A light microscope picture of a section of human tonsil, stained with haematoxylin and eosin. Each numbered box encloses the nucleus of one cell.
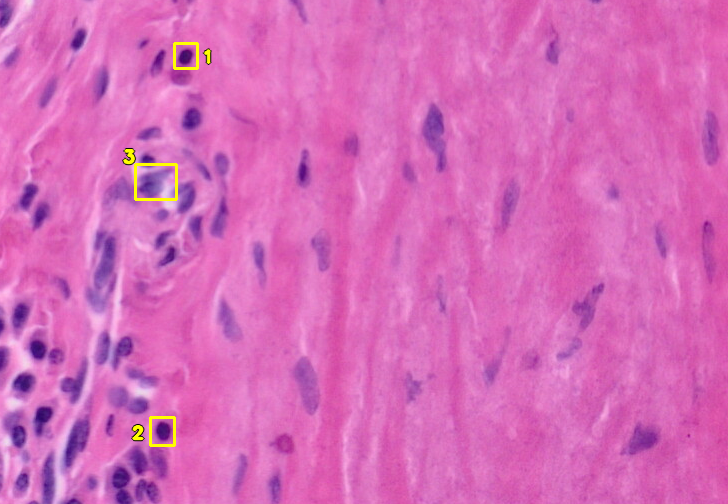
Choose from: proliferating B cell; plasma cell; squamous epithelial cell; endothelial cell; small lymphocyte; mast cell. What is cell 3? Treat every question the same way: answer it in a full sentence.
The cell indicated by marker 3 is an endothelial cell in this section.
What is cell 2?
Number 2 among the marked cells is a mast cell.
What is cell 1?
The cell indicated by marker 1 is a mast cell in this section.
